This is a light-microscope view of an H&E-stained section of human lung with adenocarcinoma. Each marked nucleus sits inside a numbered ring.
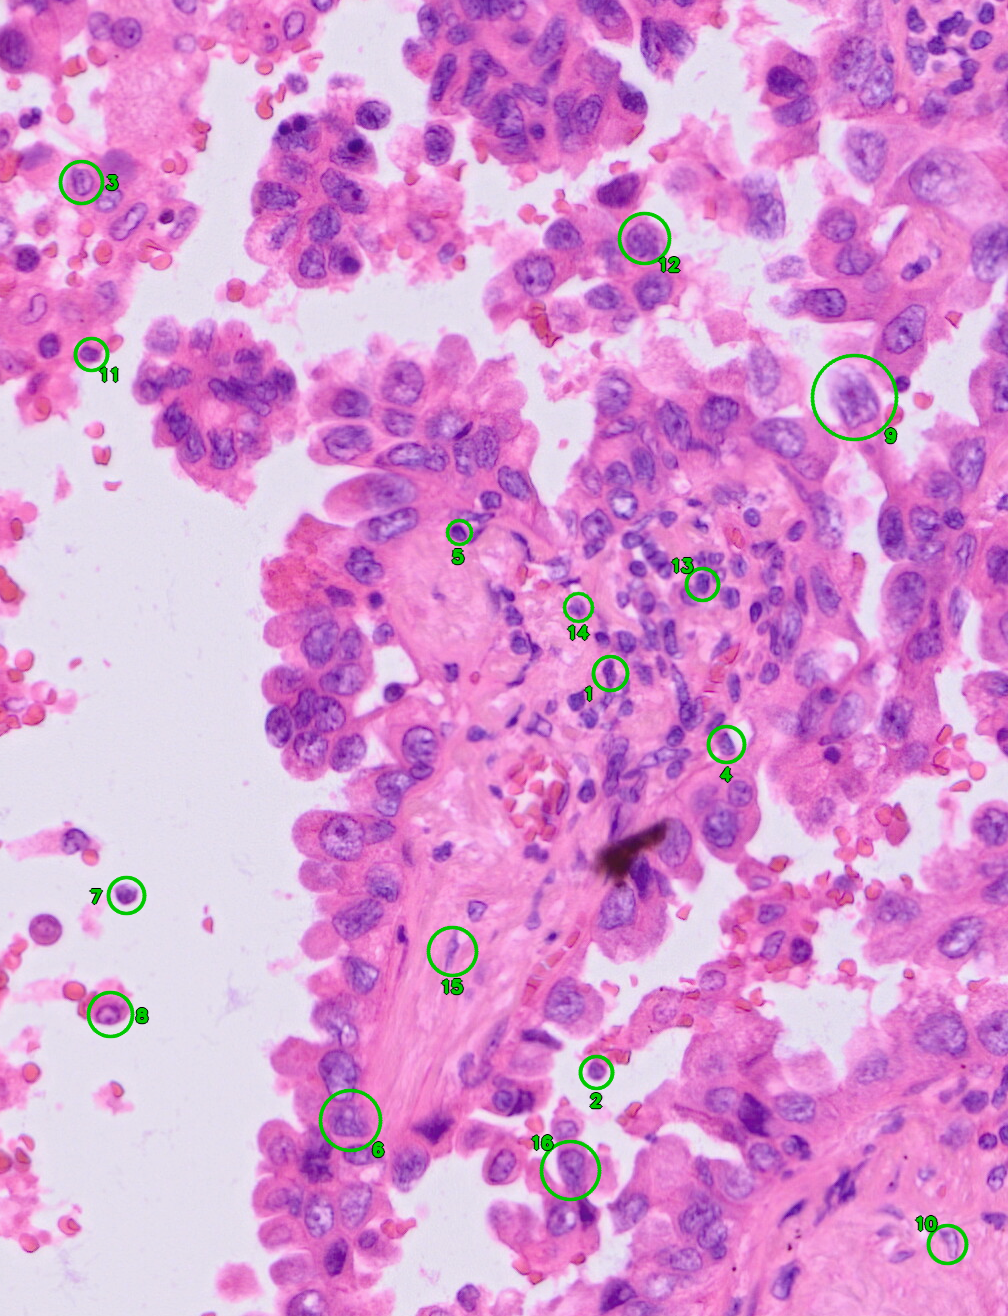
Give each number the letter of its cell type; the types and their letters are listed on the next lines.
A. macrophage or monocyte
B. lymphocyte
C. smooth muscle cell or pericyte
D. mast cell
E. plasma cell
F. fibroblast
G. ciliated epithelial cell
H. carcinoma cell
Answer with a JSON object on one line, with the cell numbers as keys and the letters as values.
{"1": "B", "2": "B", "3": "A", "4": "B", "5": "B", "6": "H", "7": "B", "8": "A", "9": "H", "10": "F", "11": "B", "12": "H", "13": "B", "14": "B", "15": "F", "16": "H"}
